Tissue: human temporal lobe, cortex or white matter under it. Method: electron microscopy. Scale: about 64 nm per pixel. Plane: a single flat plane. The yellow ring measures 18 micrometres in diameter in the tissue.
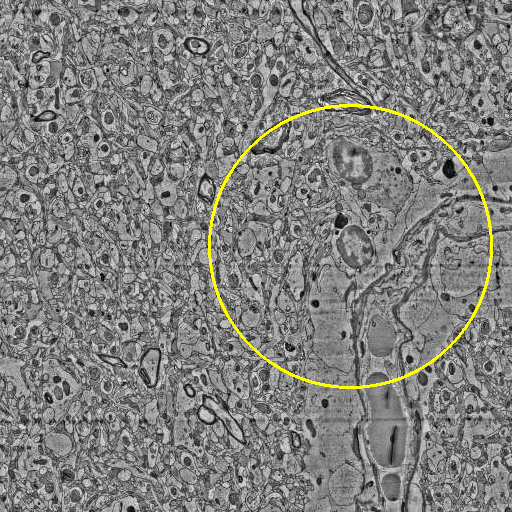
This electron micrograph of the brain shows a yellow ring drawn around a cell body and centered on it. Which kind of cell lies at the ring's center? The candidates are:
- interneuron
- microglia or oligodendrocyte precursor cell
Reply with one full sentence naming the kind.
The cell lying at the ring's center in this micrograph is a microglial cell or oligodendrocyte precursor cell.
